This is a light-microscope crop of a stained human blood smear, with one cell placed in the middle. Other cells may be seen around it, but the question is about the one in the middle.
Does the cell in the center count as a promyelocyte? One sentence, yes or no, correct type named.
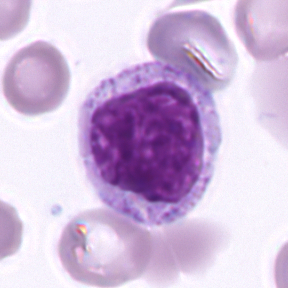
No, what is seen at the centre is a myelocyte instead of a promyelocyte.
